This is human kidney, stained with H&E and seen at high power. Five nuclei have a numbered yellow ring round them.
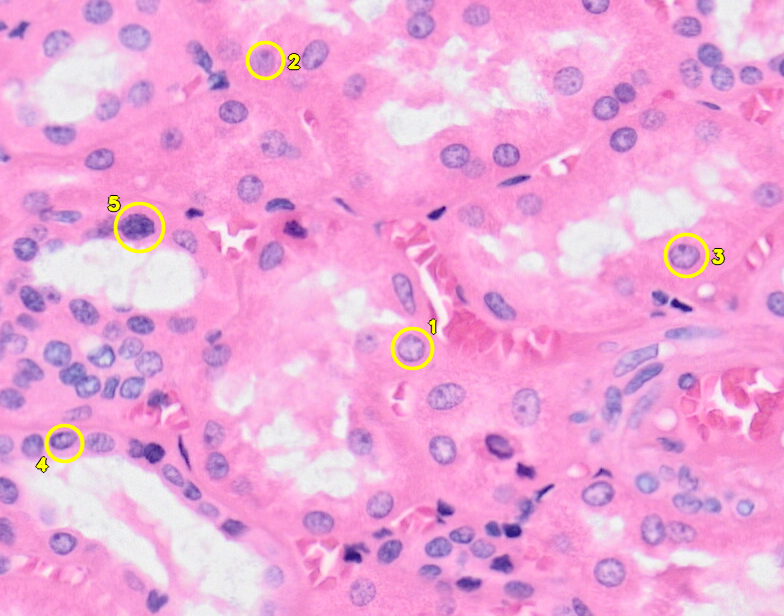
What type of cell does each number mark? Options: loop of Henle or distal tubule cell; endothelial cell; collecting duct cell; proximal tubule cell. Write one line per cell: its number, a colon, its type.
1: proximal tubule cell
2: proximal tubule cell
3: proximal tubule cell
4: collecting duct cell
5: loop of Henle or distal tubule cell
